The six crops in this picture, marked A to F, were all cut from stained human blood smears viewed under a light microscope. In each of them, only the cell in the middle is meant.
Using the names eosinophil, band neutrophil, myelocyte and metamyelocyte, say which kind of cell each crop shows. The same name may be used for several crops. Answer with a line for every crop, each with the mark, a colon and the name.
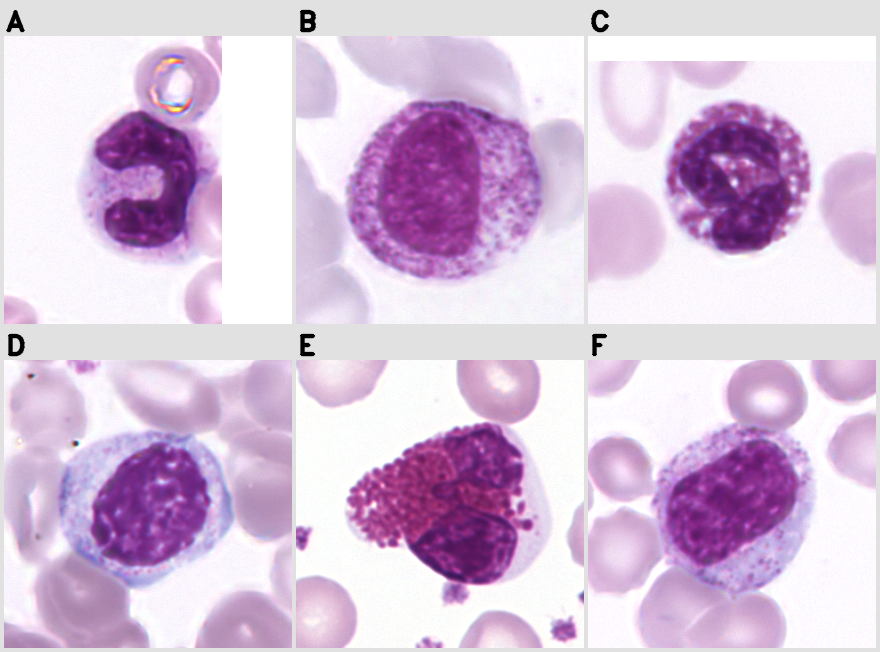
A: band neutrophil
B: myelocyte
C: eosinophil
D: myelocyte
E: eosinophil
F: metamyelocyte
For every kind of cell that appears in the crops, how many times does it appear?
myelocyte: 2
eosinophil: 2
band neutrophil: 1
metamyelocyte: 1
